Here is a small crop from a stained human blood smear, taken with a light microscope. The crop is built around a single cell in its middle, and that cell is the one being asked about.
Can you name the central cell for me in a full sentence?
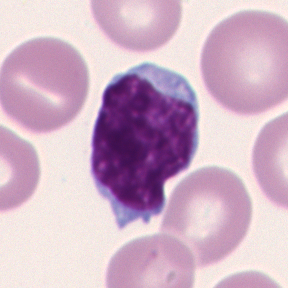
The cell at the middle of the crop is recognized as a typical lymphocyte.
